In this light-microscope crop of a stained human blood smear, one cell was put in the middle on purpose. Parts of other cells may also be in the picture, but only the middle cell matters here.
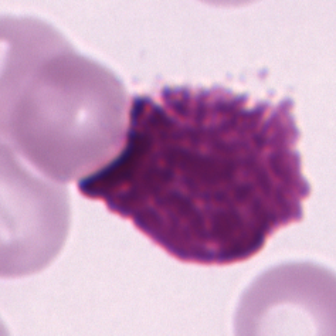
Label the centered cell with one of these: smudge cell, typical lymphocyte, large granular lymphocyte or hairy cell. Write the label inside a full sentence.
The crop centres on a single cell, and that cell is a smudge cell.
